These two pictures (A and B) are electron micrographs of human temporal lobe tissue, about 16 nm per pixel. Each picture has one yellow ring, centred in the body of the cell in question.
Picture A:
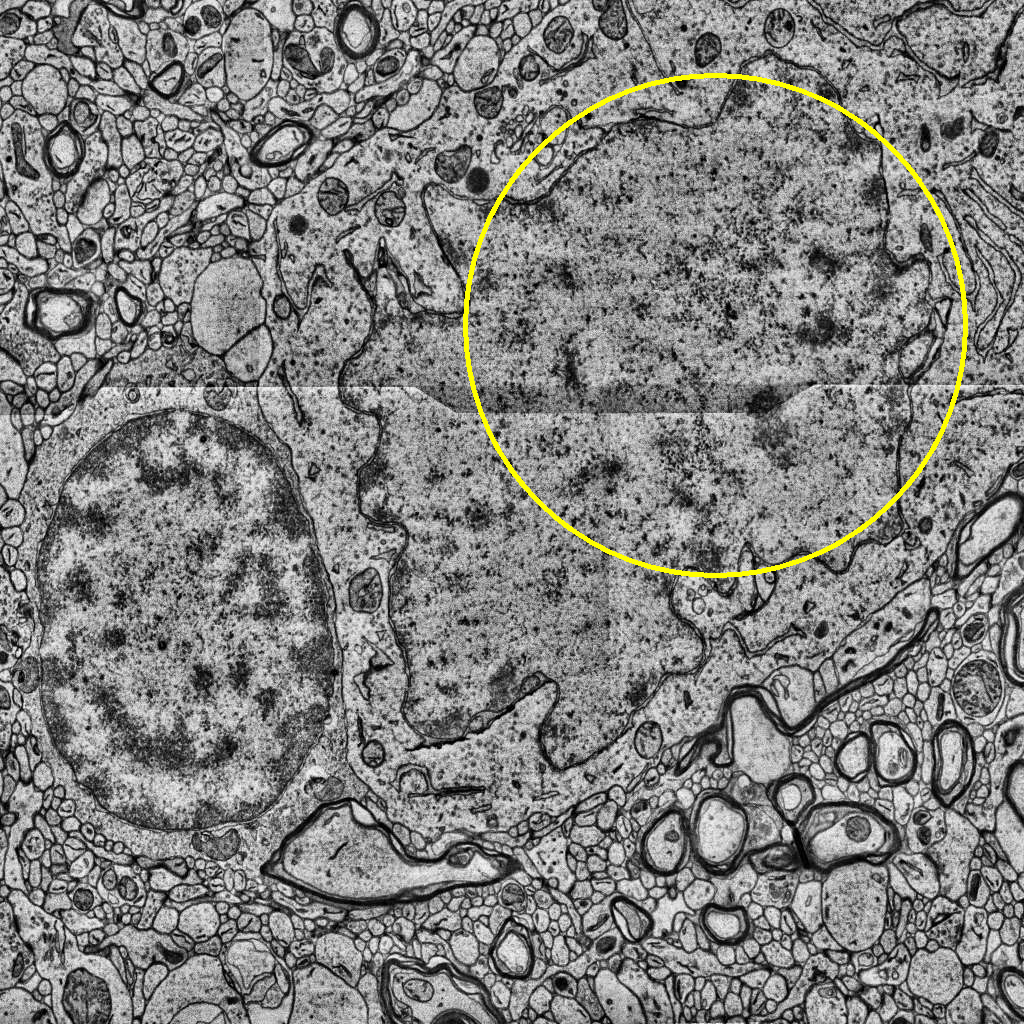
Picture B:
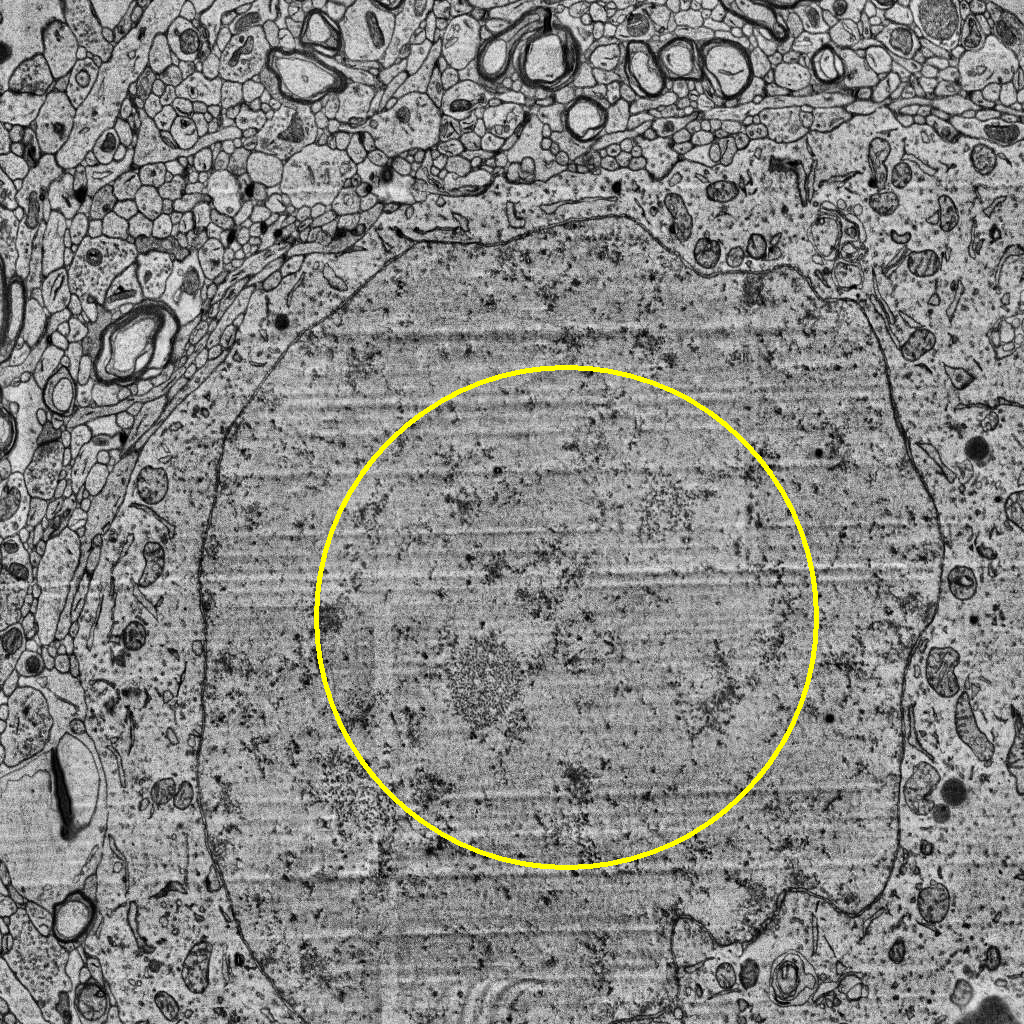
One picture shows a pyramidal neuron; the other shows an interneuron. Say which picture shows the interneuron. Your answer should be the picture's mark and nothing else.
A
